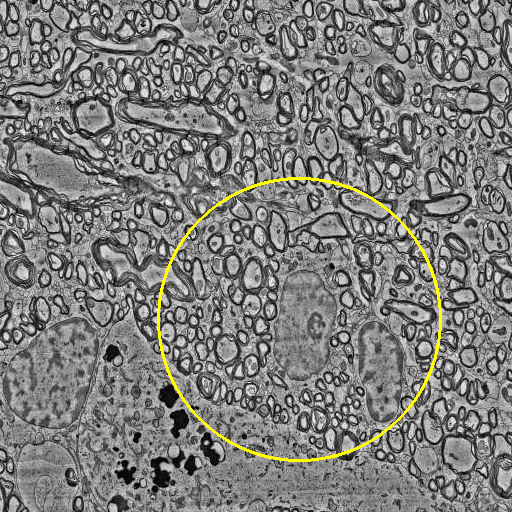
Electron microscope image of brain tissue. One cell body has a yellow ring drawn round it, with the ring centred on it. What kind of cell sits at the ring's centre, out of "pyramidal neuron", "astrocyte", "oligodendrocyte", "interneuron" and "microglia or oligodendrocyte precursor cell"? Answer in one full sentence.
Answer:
It is an oligodendrocyte whose cell body sits at the centre of the yellow ring.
